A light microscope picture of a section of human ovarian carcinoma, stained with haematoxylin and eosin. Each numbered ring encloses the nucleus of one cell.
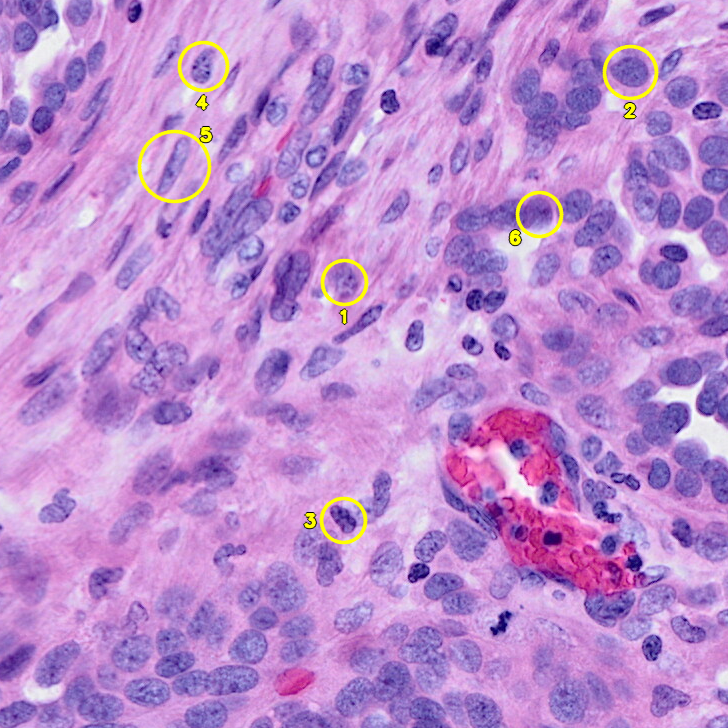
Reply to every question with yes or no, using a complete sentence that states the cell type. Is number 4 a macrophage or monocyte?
Yes, cell number 4 in this section is a macrophage or monocyte.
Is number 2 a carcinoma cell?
Yes, the cell whose nucleus carries number 2 is a carcinoma cell.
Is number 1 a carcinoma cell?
No, the cell with number 1 is not a carcinoma cell but a fibroblast.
